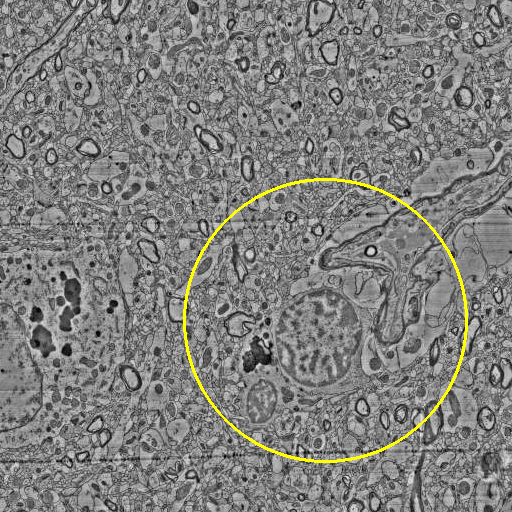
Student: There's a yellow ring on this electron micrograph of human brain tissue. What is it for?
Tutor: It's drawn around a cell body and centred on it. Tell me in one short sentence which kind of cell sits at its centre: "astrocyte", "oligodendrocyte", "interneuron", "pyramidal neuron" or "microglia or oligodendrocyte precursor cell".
The cell at the centre of the ring is an oligodendrocyte.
